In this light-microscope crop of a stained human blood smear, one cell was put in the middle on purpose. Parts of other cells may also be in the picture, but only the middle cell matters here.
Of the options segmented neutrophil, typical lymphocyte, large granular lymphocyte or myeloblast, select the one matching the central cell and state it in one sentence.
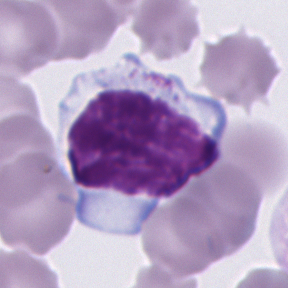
The central cell shown in this smear crop is a large granular lymphocyte.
